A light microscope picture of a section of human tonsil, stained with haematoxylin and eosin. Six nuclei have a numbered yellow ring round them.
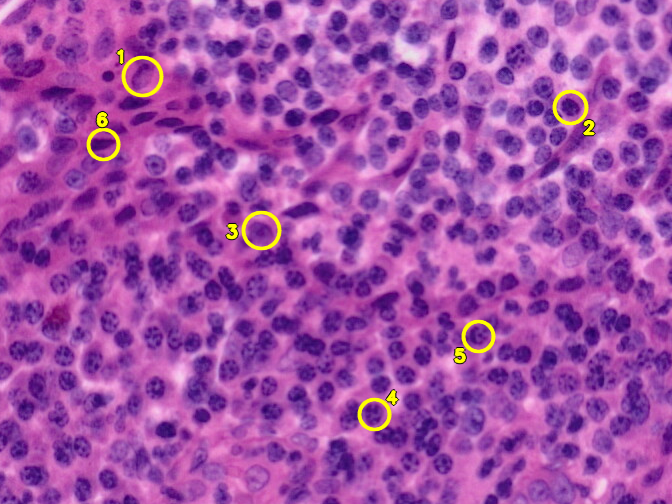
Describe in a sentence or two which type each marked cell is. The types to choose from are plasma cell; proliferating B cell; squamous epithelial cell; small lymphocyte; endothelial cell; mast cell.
Cell 1 is a squamous epithelial cell, cell 2 is a plasma cell, cell 3 is a squamous epithelial cell, cell 4 is a plasma cell, cell 5 is a plasma cell and cell 6 is a squamous epithelial cell.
